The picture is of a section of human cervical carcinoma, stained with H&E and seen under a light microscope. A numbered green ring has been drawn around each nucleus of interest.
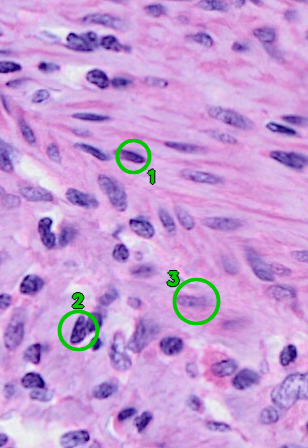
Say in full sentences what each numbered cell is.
Cell 1 is a smooth muscle cell, cell 2 is a lymphocyte and cell 3 is a smooth muscle cell.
